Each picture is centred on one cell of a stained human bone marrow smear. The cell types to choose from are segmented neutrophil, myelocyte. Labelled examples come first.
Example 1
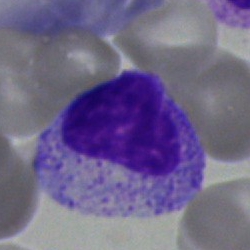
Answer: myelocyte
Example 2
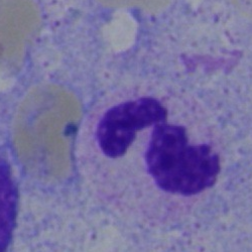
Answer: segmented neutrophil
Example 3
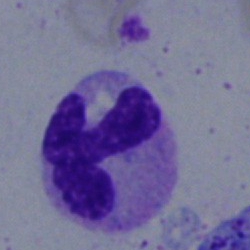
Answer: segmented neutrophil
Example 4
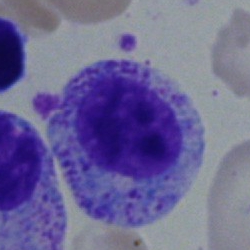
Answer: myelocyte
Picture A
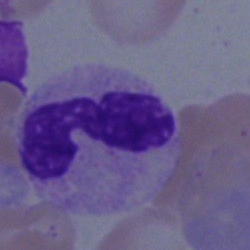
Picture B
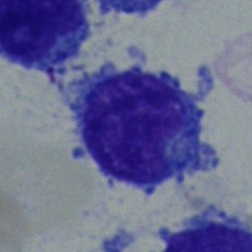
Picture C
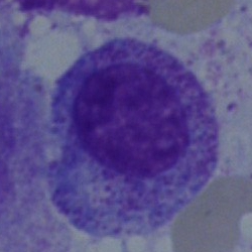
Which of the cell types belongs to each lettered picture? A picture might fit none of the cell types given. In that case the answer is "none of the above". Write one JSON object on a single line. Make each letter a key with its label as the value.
{"A": "segmented neutrophil", "B": "none of the above", "C": "myelocyte"}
